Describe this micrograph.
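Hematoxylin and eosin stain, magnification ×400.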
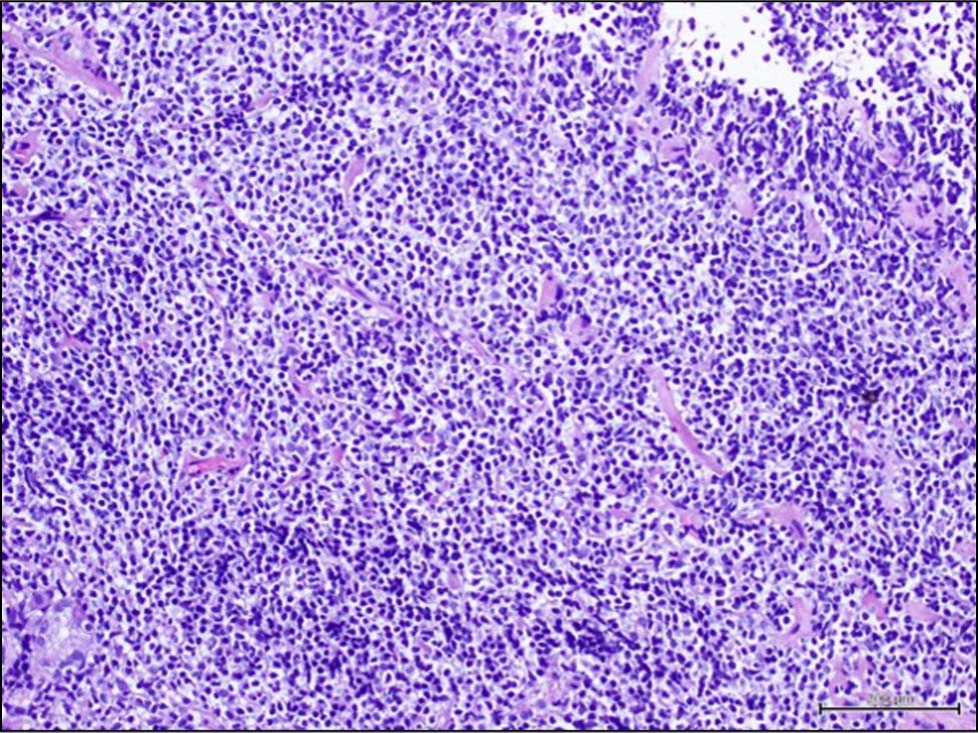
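This is a diffuse, crowded infiltrate of small atypical lymphocytes that fill the whole field in sheets. Their nuclei are dark purple and round to slightly irregular, and many cells have a rim of pale cytoplasm that gives them a monocytoid look. Only thin strands of pink stroma run between the cells, so little of any normal tissue architecture remains.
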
